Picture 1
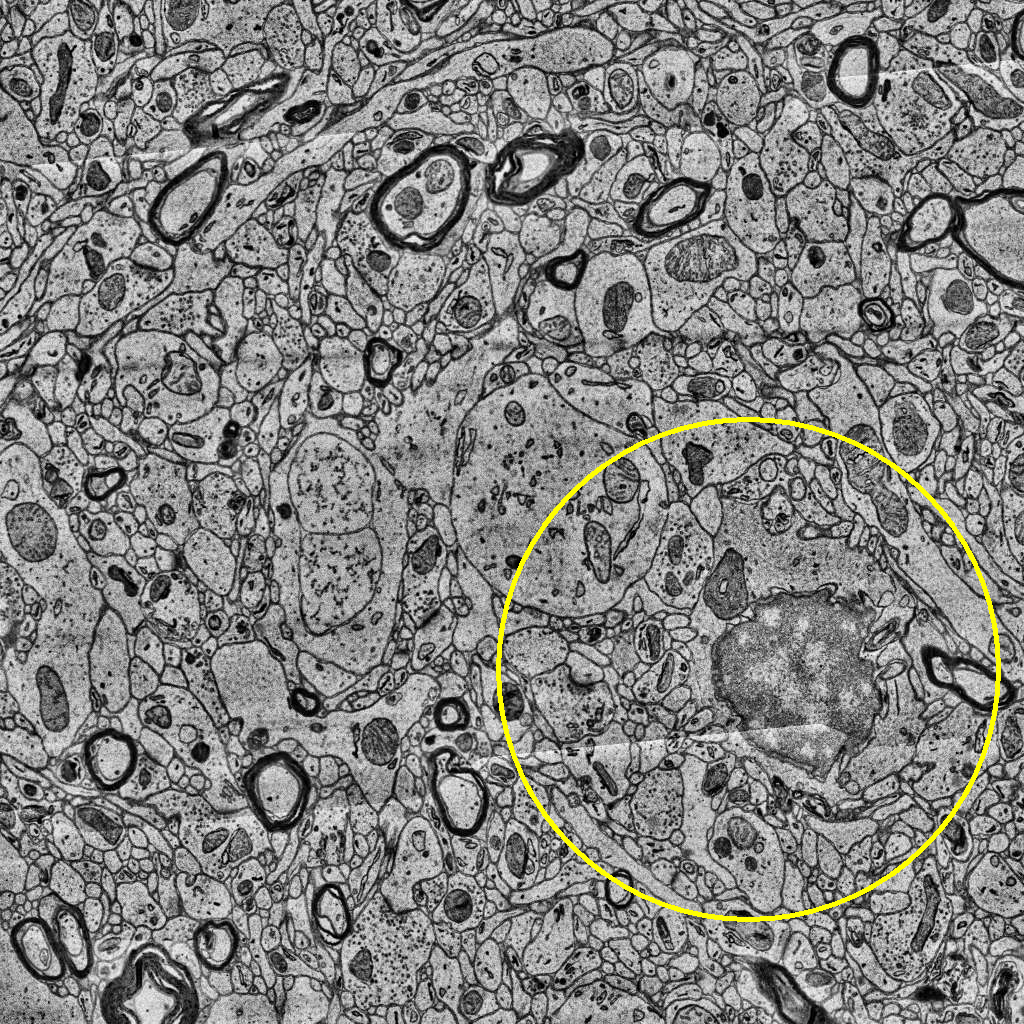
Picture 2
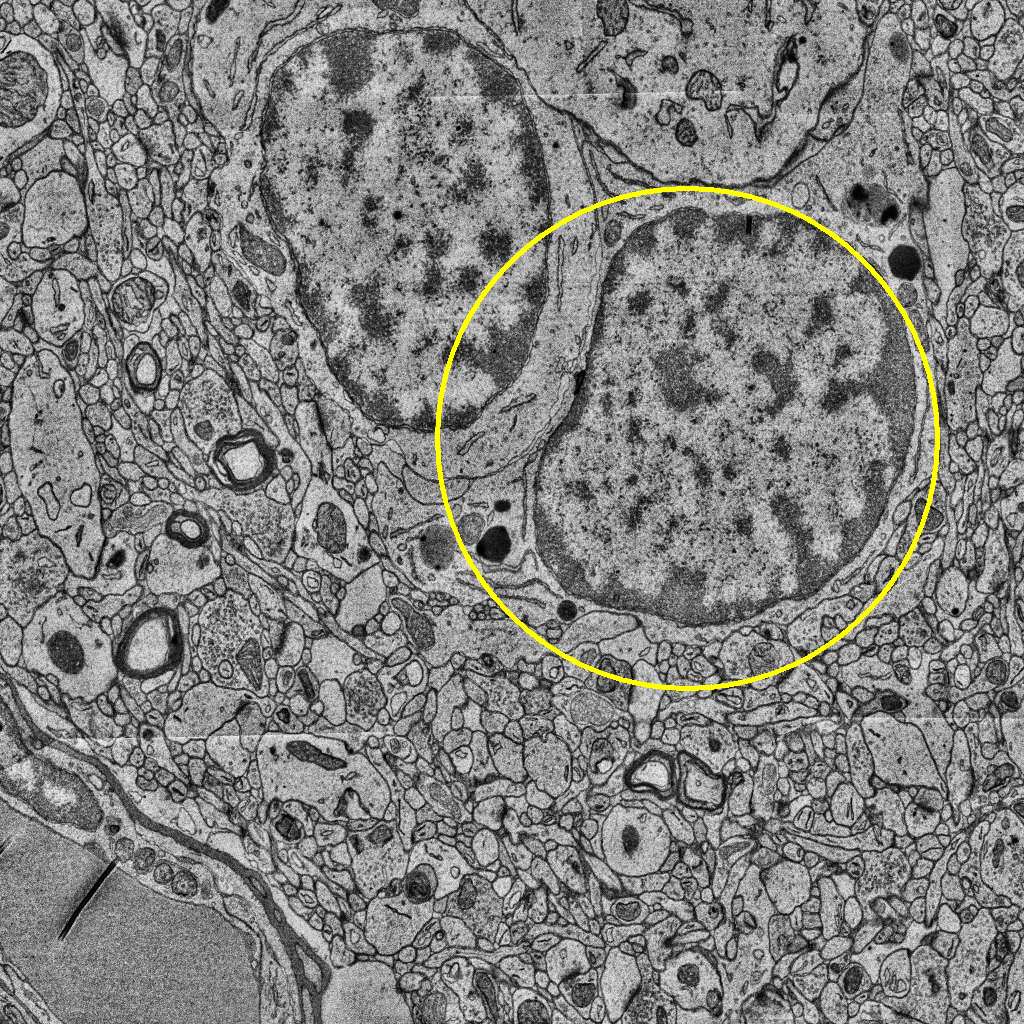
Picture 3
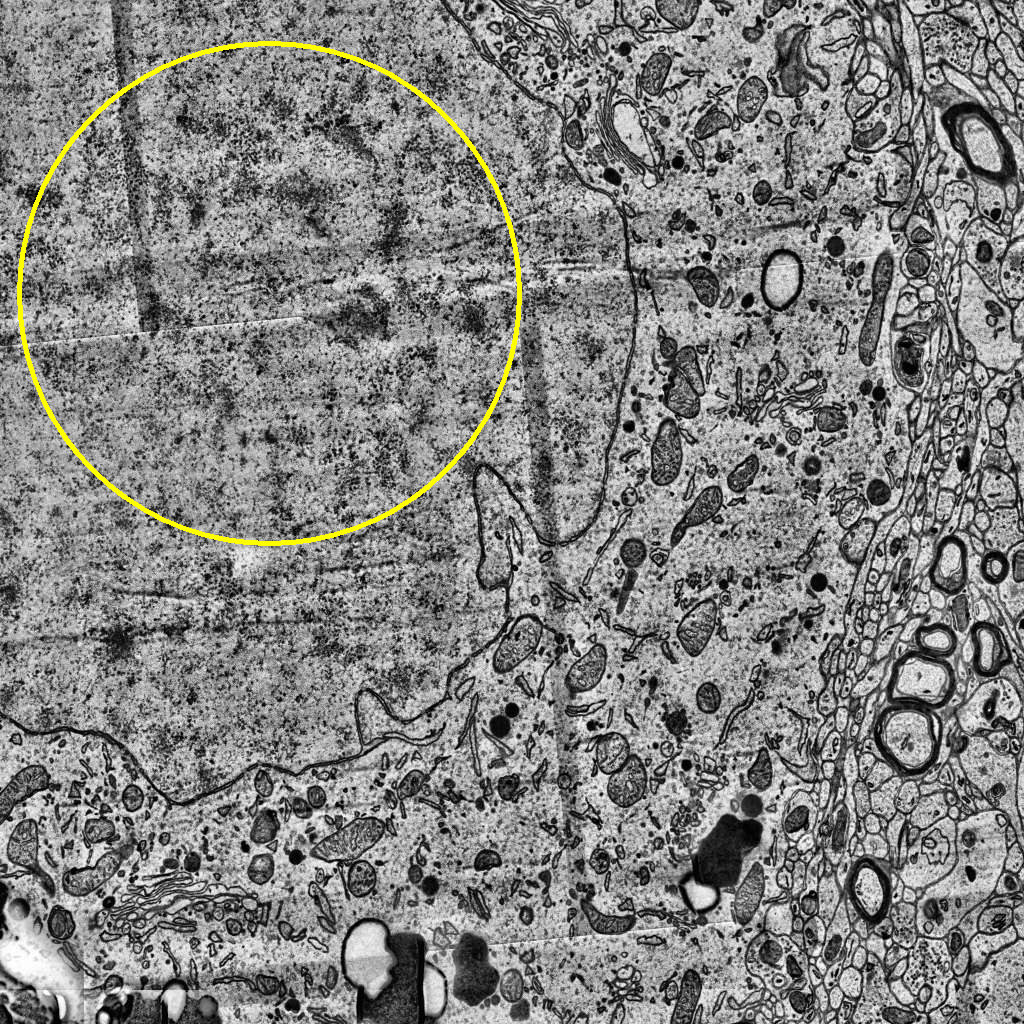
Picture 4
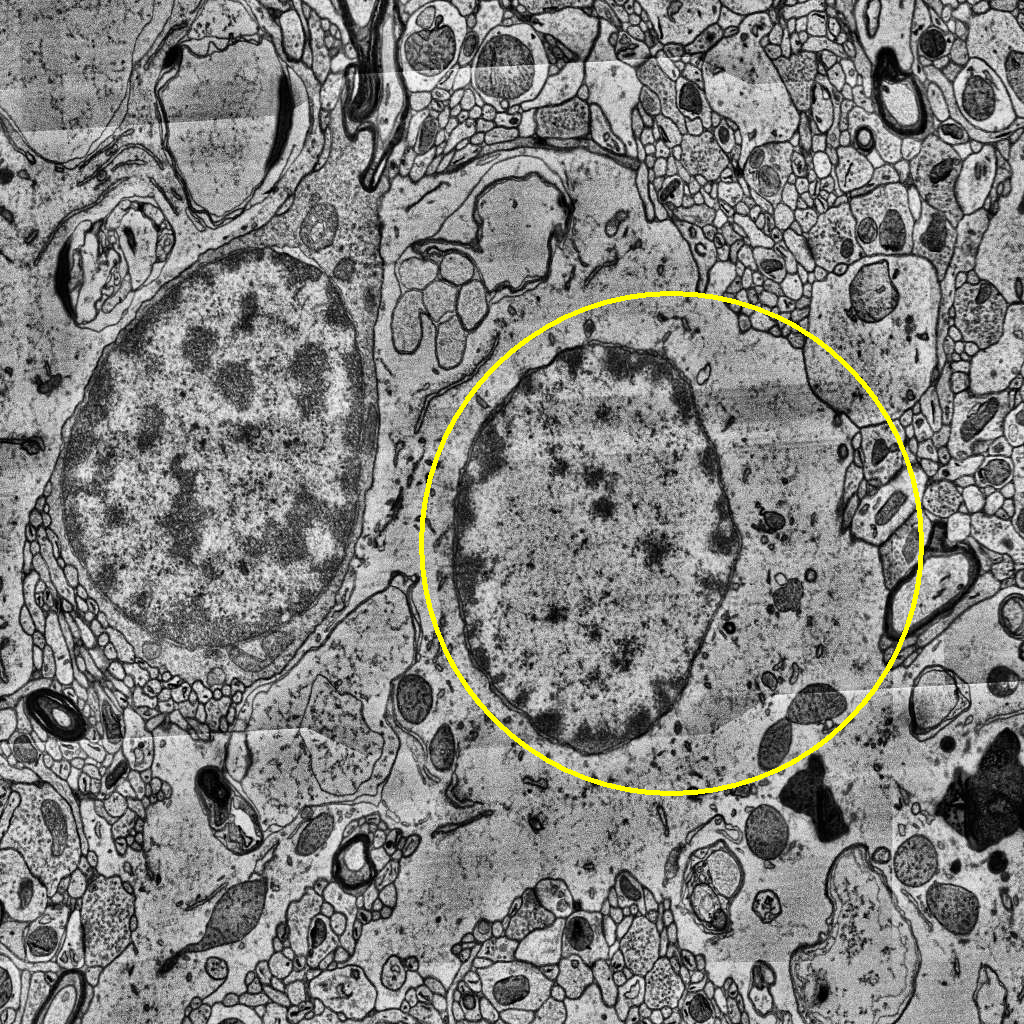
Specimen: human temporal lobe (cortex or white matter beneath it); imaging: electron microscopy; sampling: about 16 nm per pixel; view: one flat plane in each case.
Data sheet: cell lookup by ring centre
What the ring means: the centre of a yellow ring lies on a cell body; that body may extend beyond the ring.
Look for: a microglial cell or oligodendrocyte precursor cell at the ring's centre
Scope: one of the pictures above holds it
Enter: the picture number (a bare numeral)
2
